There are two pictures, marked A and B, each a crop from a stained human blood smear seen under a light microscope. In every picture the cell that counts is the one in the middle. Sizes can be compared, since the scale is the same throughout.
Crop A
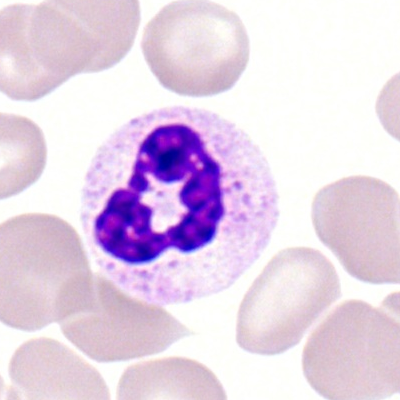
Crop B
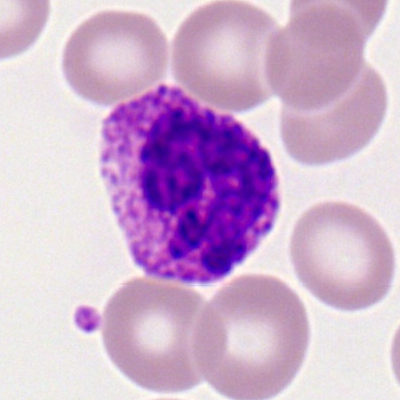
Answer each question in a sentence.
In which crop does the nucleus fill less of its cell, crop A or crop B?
It is the cell in crop A that is filled less by its nucleus.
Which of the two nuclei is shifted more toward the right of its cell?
In crop B the nucleus is shifted more toward the right.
